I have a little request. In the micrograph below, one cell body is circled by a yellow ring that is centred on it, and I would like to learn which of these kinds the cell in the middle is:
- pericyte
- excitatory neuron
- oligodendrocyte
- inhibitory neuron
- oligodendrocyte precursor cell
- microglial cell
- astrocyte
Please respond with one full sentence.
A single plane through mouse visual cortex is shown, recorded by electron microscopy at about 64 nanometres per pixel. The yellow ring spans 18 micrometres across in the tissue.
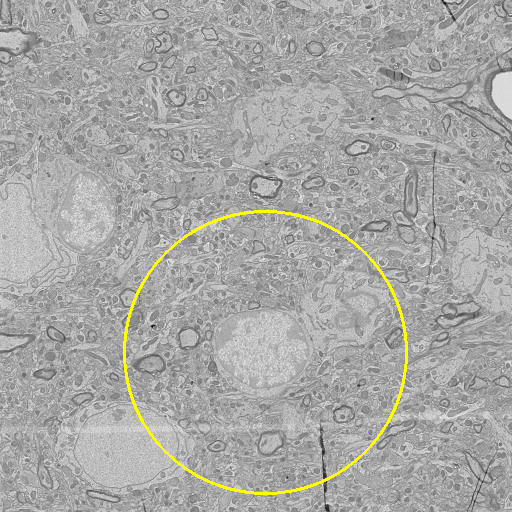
The cell sitting in the middle of the yellow ring in the micrograph is an oligodendrocyte.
